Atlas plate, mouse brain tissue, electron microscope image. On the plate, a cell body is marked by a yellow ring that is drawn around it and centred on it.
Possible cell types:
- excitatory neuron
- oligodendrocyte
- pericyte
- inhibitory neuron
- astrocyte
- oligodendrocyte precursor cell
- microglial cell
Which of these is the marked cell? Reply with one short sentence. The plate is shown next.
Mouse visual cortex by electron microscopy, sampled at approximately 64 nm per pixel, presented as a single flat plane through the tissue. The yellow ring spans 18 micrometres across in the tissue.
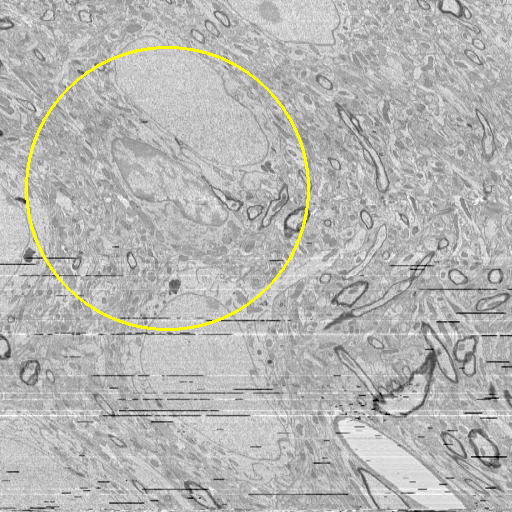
The marked cell is an oligodendrocyte.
